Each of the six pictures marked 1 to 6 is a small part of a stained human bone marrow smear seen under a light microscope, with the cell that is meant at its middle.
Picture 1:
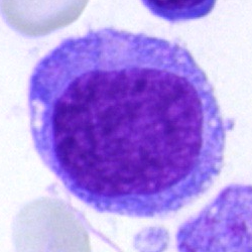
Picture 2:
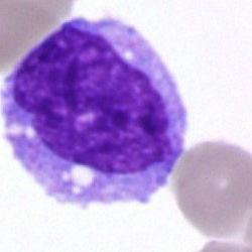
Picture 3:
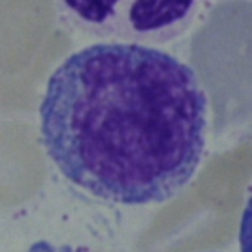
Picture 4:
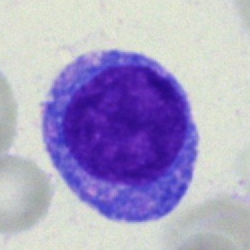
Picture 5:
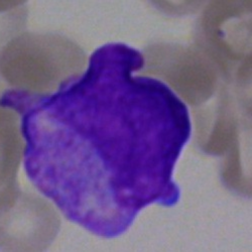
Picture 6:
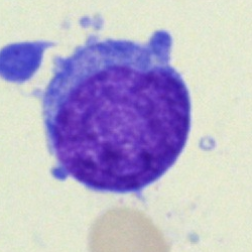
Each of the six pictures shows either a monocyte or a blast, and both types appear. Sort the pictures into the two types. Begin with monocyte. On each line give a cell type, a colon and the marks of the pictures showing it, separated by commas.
monocyte: 2, 3
blast: 1, 4, 5, 6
